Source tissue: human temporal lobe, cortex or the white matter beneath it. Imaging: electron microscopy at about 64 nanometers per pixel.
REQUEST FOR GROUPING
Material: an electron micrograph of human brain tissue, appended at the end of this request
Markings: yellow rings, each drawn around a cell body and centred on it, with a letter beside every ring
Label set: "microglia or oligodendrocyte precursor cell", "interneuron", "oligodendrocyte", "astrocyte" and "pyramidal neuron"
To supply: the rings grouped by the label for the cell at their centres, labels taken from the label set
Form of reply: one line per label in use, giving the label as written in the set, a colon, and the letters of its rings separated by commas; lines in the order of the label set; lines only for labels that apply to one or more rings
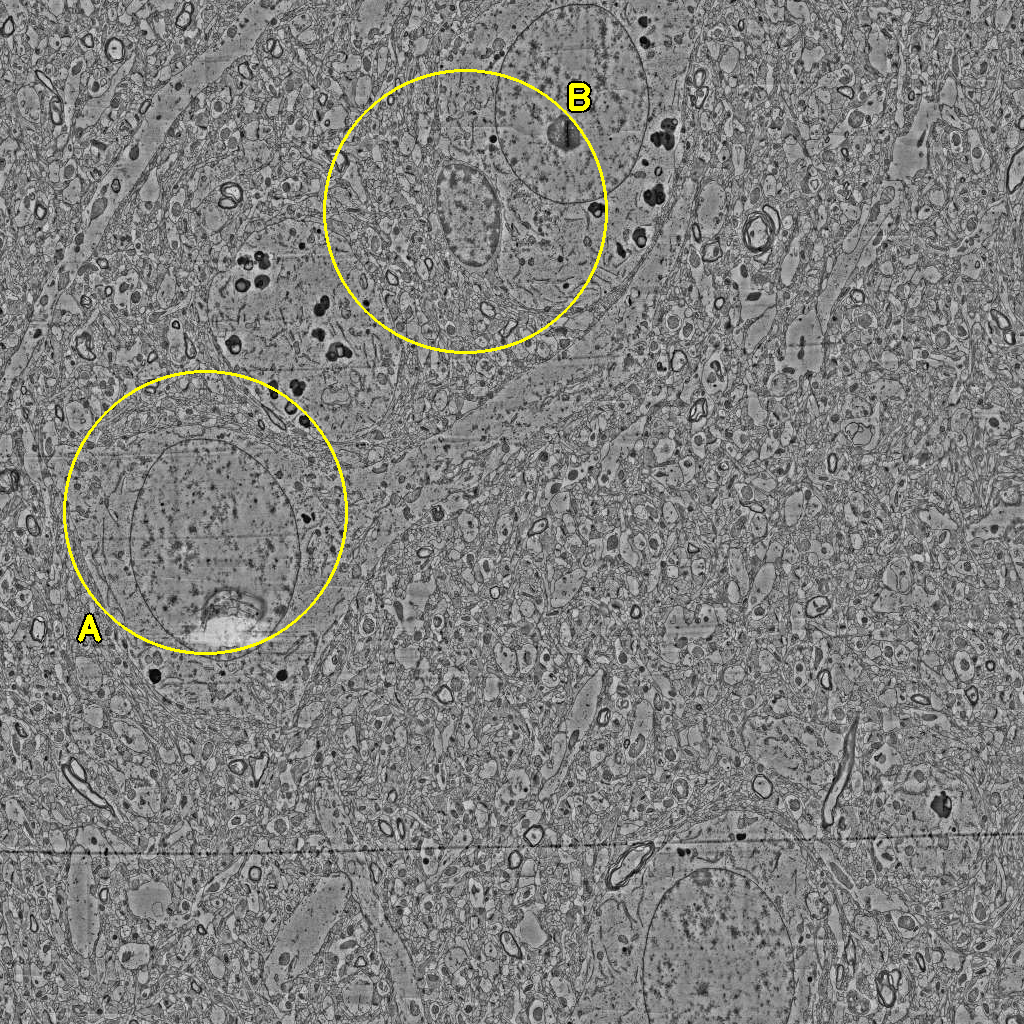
oligodendrocyte: B
pyramidal neuron: A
